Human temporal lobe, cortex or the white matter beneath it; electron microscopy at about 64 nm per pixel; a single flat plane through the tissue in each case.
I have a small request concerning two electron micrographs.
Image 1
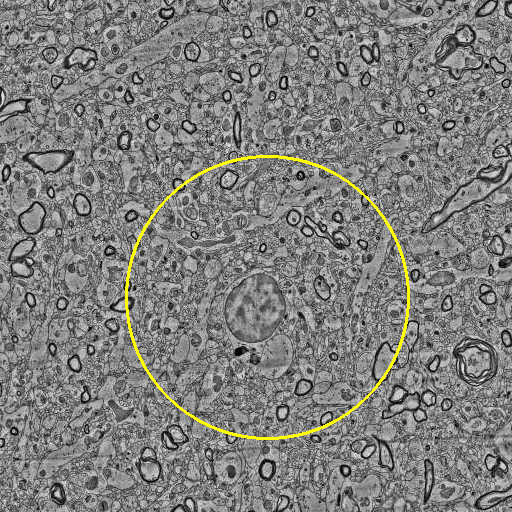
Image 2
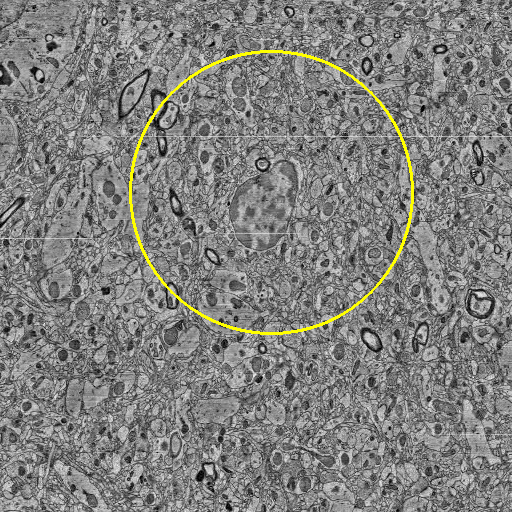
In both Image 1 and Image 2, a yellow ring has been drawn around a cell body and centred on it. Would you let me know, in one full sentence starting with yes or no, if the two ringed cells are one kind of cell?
Yes, the cells ringed in Image 1 and Image 2 are one kind of cell.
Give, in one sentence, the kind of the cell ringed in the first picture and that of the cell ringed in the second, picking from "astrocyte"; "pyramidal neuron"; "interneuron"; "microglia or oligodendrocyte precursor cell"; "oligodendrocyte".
In each picture the ringed cell is a microglial cell or oligodendrocyte precursor cell.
